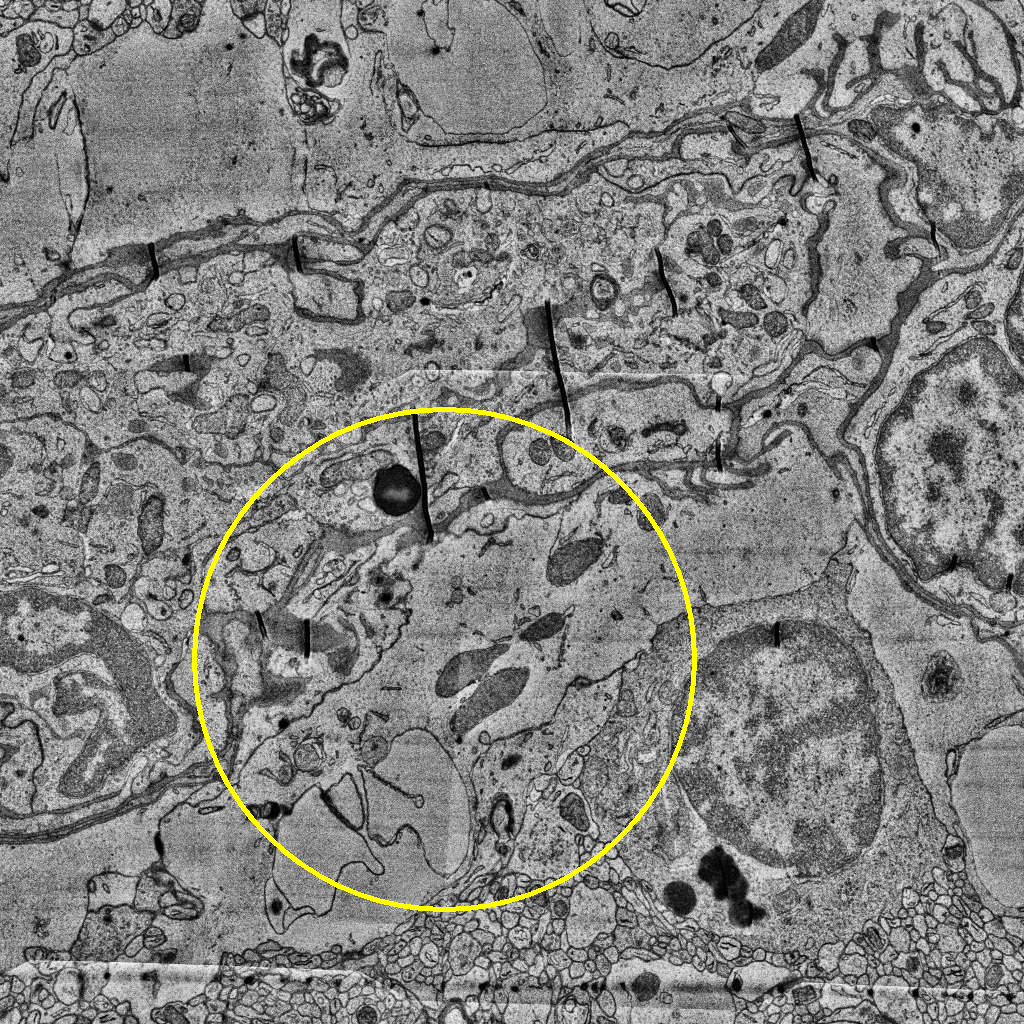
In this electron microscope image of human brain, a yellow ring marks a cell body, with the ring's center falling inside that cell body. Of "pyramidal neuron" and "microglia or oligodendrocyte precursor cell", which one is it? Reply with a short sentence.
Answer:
It is a microglial cell or oligodendrocyte precursor cell at the center of the ring.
